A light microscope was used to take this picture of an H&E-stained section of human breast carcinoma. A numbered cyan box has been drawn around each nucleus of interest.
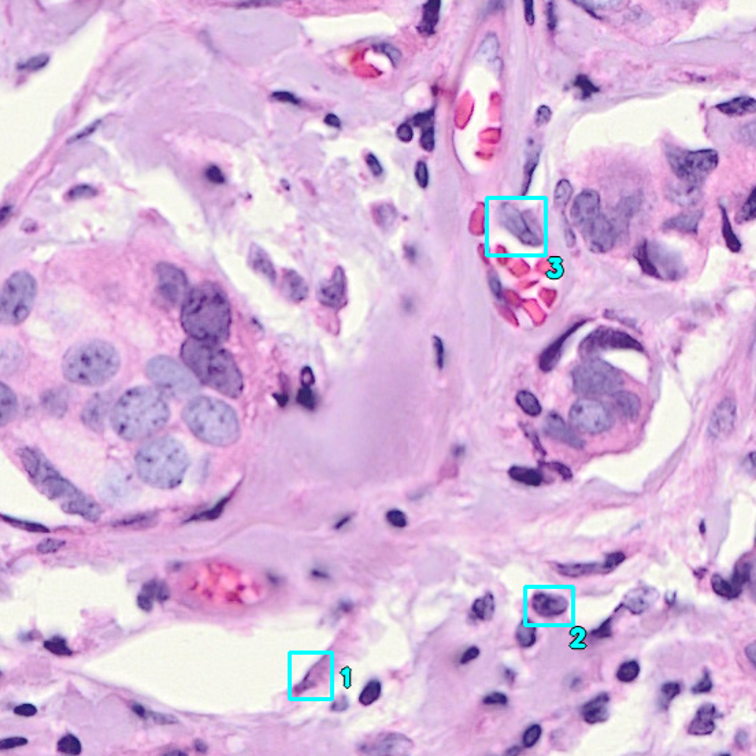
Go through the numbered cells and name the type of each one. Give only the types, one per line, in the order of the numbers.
fibroblast
lymphocyte
endothelial cell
